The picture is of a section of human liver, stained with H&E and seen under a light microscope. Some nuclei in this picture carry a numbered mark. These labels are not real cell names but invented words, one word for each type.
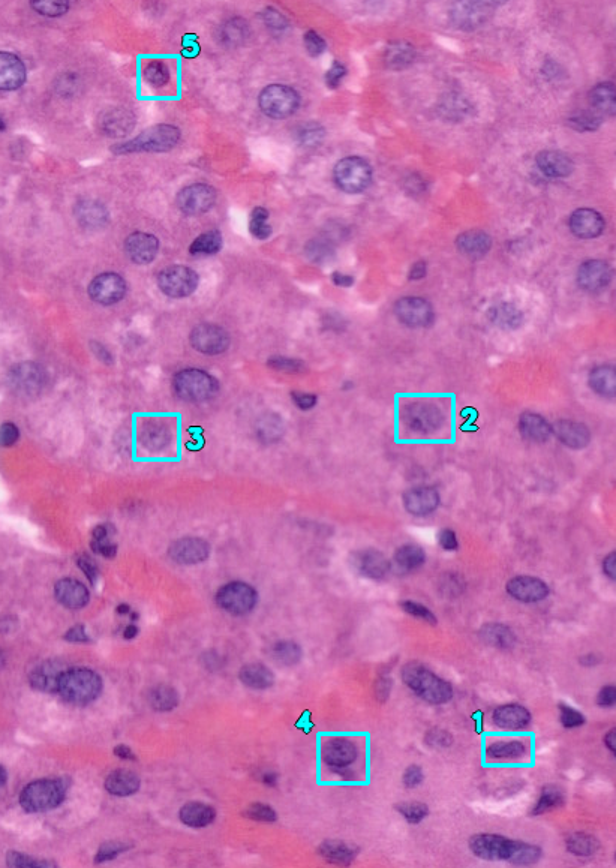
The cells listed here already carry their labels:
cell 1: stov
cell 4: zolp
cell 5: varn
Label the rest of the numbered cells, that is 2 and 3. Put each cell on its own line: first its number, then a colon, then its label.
2: zolp
3: zolp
